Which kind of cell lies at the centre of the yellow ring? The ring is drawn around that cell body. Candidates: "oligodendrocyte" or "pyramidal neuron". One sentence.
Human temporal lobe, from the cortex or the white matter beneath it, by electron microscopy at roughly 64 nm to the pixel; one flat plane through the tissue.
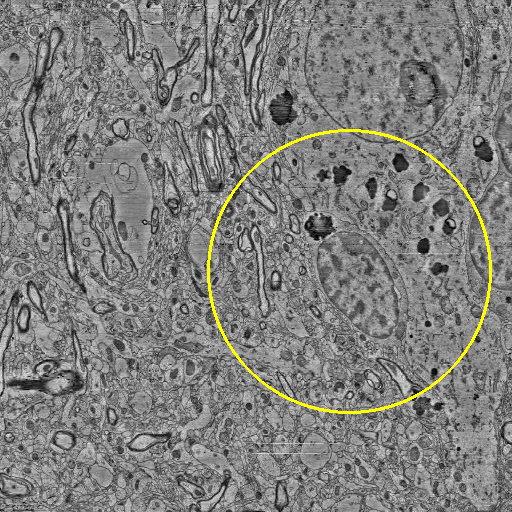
Lying at the centre of the ring is an oligodendrocyte.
